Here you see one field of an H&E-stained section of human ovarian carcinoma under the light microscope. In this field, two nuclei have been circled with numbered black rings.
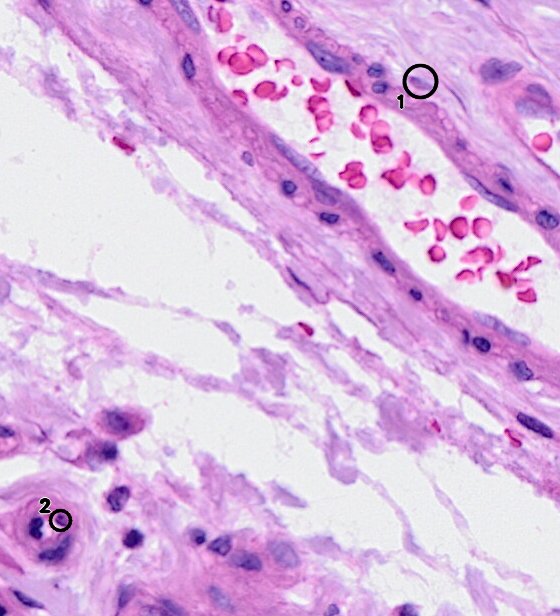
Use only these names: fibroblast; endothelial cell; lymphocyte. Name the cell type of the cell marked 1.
fibroblast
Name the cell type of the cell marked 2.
endothelial cell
